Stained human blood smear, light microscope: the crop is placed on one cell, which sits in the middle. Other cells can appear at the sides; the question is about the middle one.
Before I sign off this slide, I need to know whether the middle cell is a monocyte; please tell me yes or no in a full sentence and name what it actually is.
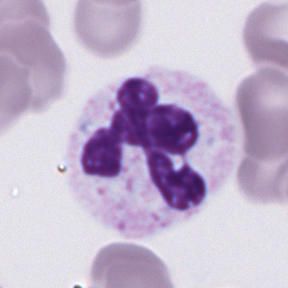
No, the centered cell is a segmented neutrophil and not a monocyte at all.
